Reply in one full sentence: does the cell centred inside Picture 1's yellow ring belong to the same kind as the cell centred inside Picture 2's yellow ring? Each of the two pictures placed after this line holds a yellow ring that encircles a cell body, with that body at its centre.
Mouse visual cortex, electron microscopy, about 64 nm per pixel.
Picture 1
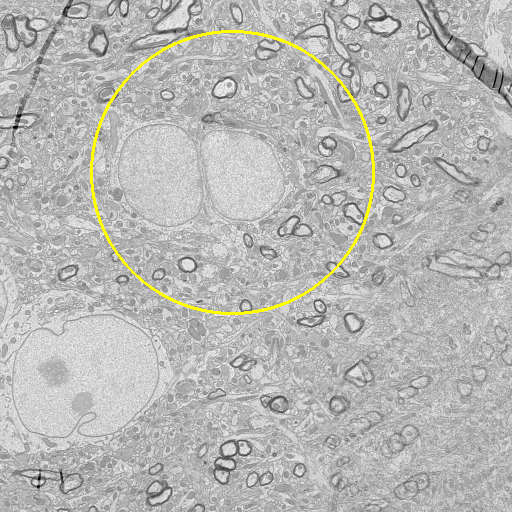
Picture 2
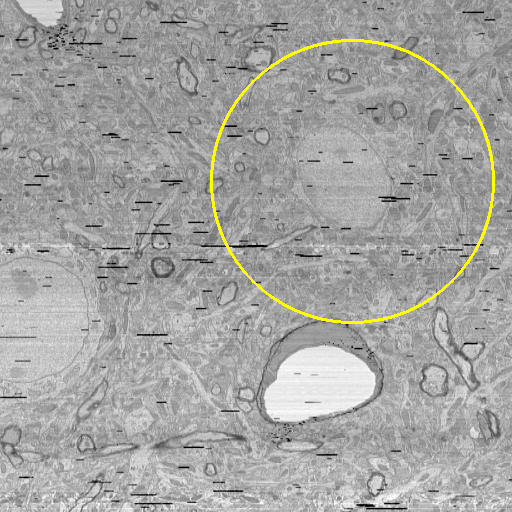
Yes, the ring-centred cells in Picture 1 and Picture 2 are of one and the same kind.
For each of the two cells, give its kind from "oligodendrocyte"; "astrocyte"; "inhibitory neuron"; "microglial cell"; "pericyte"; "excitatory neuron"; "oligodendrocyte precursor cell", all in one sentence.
Each cell, in the first picture and the second, is an astrocyte.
